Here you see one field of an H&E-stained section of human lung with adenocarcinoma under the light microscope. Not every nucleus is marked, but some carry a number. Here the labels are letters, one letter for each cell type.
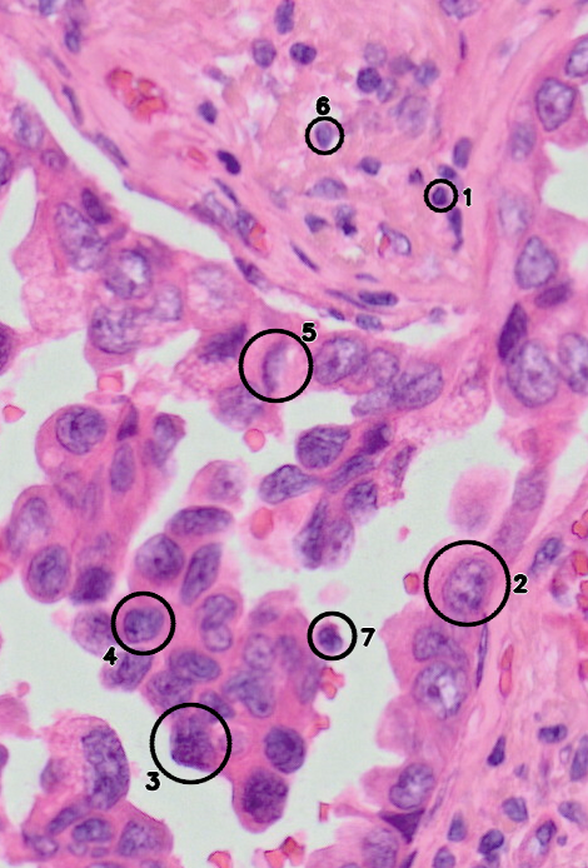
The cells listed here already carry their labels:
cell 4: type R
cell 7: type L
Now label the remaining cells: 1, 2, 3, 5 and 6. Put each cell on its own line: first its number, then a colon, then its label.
1: type L
2: type R
3: type R
5: type R
6: type L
